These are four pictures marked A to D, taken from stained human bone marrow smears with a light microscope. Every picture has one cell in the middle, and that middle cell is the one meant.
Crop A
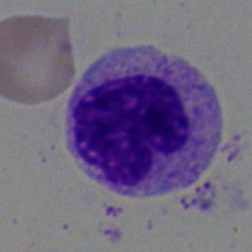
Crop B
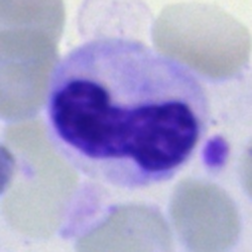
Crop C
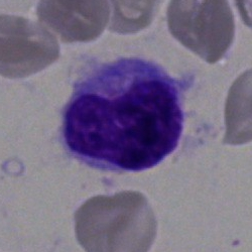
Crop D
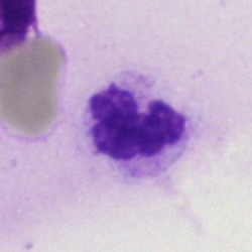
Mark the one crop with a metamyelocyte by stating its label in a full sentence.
Crop A is the crop whose central cell is a metamyelocyte.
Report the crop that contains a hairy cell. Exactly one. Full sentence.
Crop C is the right one; it is the crop showing a hairy cell.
